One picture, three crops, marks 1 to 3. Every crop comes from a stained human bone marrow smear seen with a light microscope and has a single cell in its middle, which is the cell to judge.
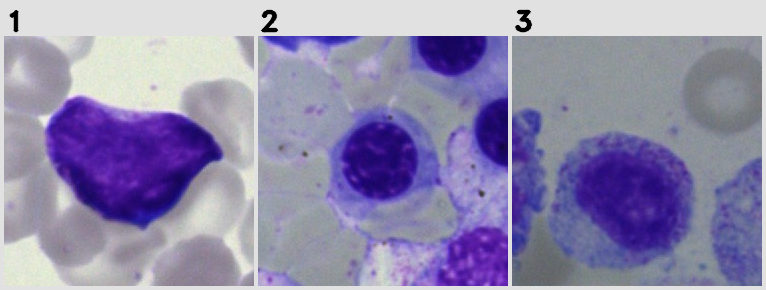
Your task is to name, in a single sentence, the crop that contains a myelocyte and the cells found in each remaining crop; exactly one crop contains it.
Going crop by crop, crop 3 is a myelocyte, while crop 1 is a blast and crop 2 is an erythroblast.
